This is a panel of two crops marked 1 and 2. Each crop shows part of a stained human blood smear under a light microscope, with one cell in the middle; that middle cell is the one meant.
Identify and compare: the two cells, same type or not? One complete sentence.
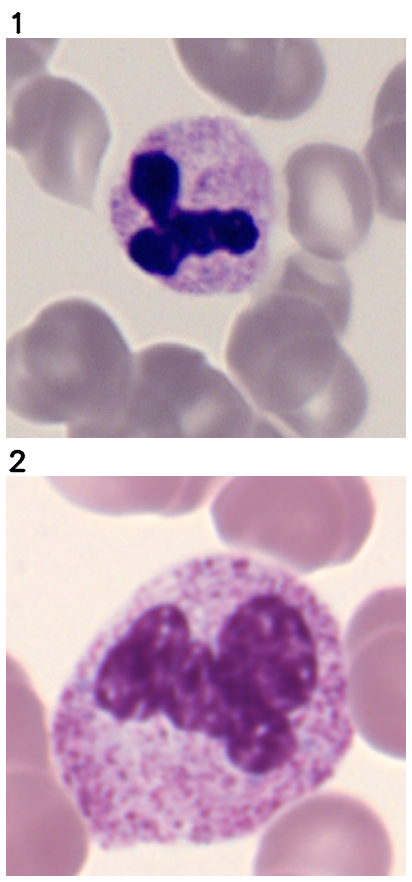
Yes, the same answer goes for both crops, namely neutrophils.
